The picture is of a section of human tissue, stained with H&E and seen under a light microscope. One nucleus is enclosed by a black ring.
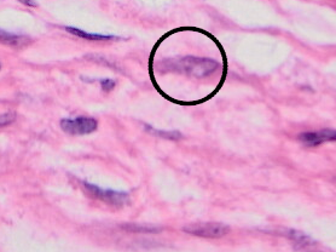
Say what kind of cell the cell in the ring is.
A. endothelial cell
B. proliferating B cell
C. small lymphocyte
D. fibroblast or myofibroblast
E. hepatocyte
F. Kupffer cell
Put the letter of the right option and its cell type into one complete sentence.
It is as option D has it, the cell in the ring being a fibroblast or myofibroblast.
